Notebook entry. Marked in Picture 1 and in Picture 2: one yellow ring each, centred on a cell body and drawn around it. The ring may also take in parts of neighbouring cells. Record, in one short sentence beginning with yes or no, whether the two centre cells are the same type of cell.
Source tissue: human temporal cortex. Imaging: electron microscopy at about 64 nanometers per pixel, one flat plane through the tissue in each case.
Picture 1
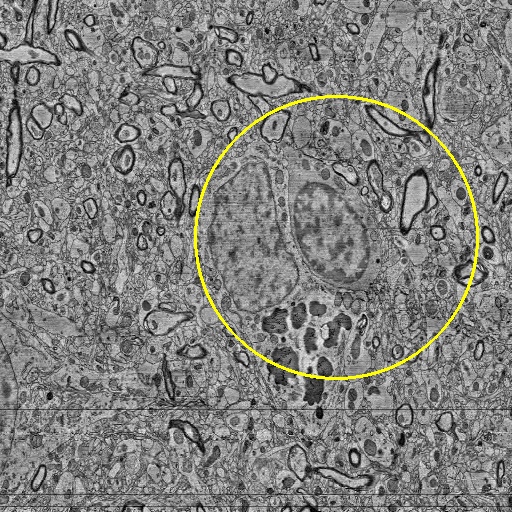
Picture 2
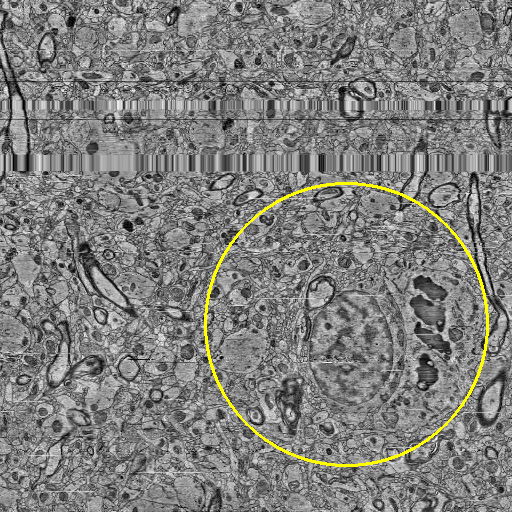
Yes, both are the same type of cell.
